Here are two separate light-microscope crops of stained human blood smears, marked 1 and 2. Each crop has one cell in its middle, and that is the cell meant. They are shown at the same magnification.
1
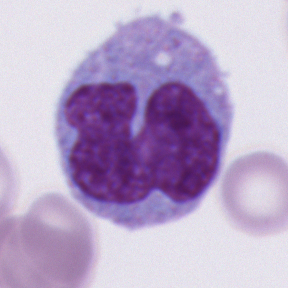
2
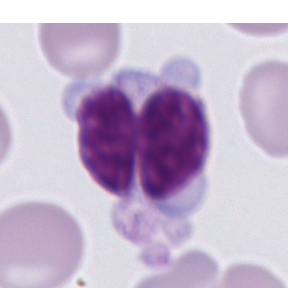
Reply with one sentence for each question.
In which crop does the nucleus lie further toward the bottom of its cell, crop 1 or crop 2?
Seen within its cell, the nucleus in crop 1 lies further toward the bottom.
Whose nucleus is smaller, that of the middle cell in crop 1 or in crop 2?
Smaller is the nucleus in crop 2, and the other is about 1.5 times as large in area.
